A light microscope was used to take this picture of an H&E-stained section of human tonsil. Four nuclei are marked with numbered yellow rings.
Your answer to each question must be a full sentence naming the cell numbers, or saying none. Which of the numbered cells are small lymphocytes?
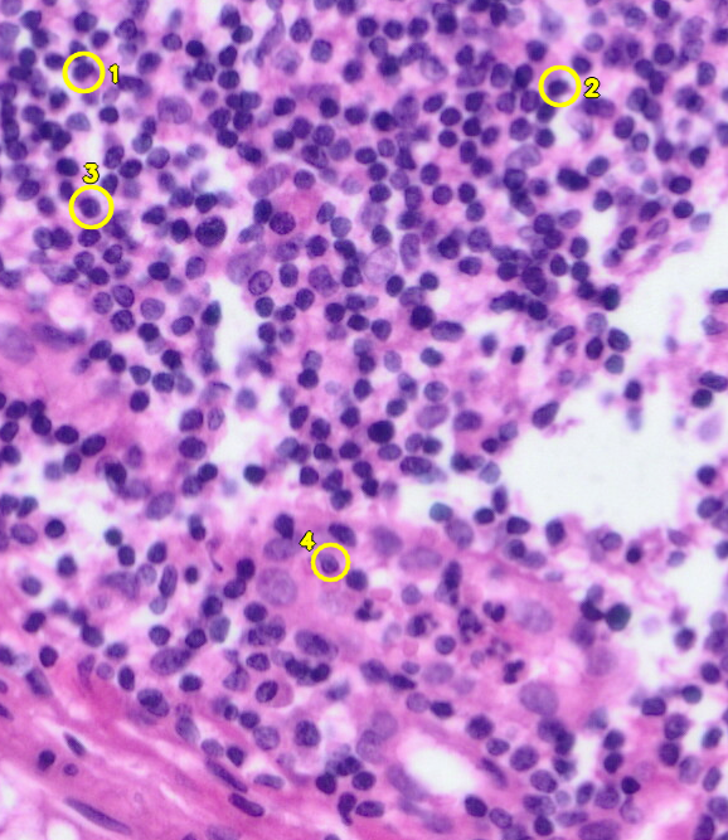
As for the cells numbered 1, 2 and 3, they are small lymphocytes.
